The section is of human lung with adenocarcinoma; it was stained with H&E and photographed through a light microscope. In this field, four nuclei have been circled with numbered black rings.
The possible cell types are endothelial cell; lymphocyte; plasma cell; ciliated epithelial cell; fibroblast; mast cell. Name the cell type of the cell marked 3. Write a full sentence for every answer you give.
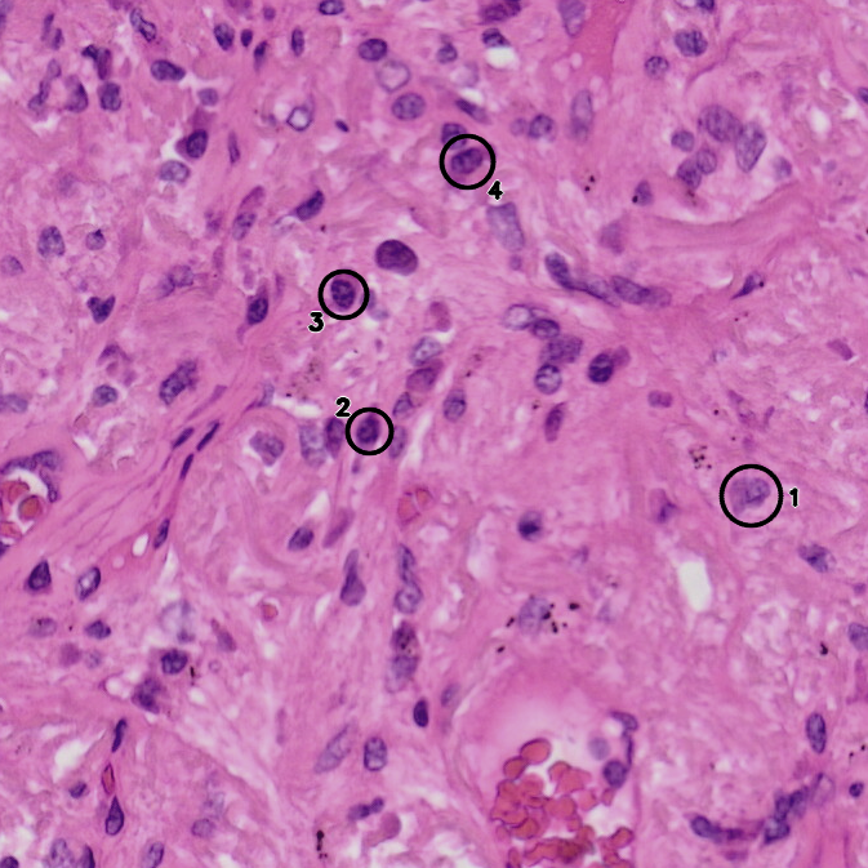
The mark numbered 3 indicates the nucleus of a plasma cell.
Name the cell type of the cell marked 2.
The cell indicated by marker 2 is a plasma cell in this section.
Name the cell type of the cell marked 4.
Cell 4 in the field of view is a plasma cell.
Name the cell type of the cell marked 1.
Cell 1, as marked in the section, is a fibroblast.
